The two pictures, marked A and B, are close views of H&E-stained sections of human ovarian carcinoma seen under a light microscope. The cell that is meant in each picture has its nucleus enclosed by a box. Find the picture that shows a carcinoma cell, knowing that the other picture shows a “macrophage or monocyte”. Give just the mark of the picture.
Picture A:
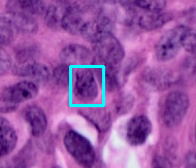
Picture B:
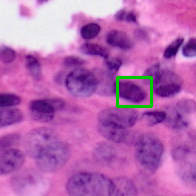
B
